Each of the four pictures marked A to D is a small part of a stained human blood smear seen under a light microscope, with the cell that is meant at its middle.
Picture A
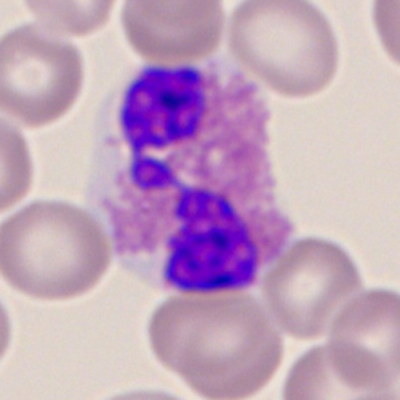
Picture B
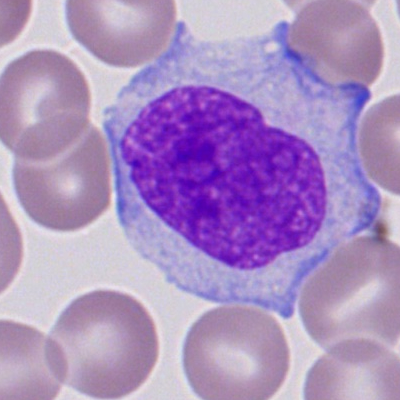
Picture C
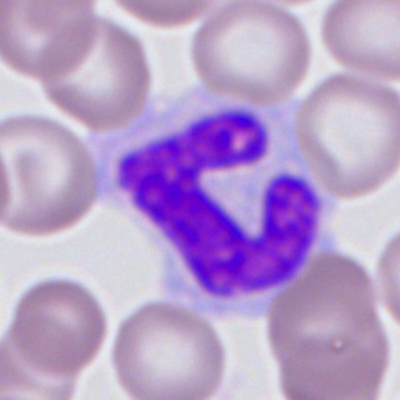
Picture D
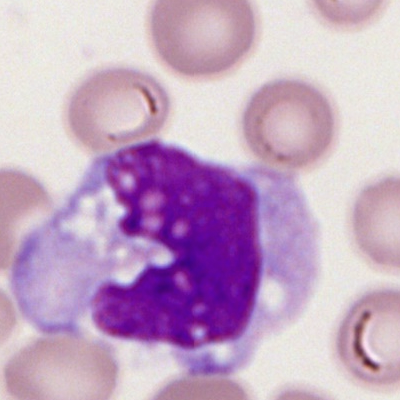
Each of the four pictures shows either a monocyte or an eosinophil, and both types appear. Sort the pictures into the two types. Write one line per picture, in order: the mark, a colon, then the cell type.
A: eosinophil
B: monocyte
C: monocyte
D: monocyte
